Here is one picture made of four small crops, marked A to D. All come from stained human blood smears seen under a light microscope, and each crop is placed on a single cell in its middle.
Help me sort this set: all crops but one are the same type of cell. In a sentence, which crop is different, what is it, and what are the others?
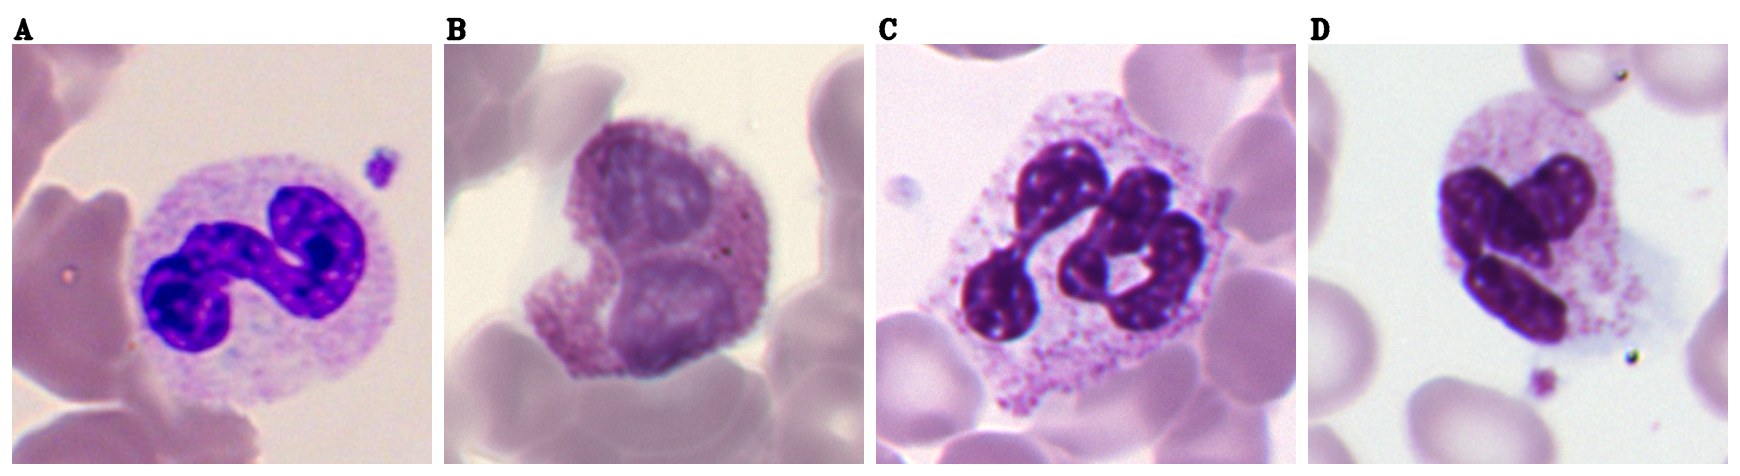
Crop B is an eosinophil, while the rest of the set consists of neutrophils.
